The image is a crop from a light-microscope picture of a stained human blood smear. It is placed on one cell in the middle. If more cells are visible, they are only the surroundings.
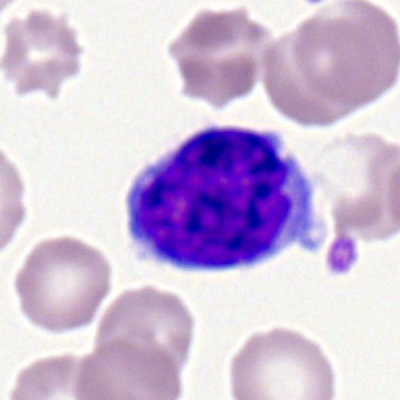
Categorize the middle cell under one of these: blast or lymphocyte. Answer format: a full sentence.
Located at the centre of the crop is a lymphocyte.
